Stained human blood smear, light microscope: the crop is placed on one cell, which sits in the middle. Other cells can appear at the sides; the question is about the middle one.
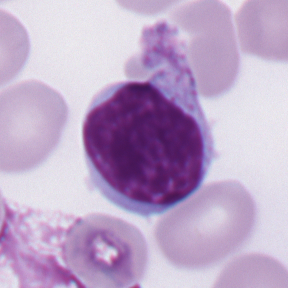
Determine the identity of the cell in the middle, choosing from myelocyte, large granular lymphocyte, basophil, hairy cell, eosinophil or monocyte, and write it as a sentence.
This crop is built around a large granular lymphocyte at its centre.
